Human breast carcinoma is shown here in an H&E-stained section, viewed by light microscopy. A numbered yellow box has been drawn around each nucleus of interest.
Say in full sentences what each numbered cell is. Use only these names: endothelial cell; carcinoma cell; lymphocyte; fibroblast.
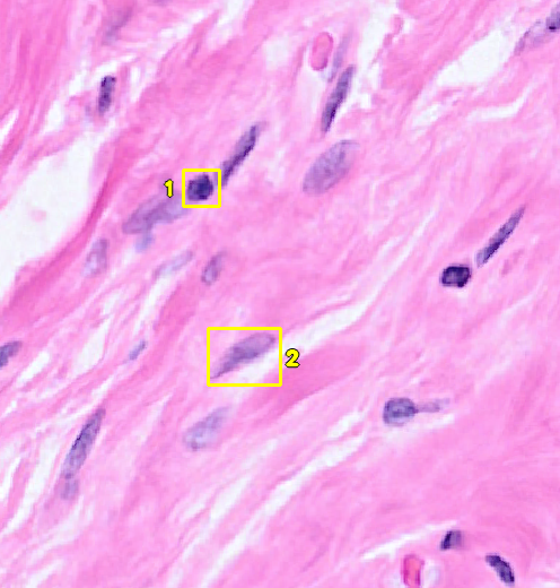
Cell 1 is a lymphocyte. Cell 2 is a fibroblast.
